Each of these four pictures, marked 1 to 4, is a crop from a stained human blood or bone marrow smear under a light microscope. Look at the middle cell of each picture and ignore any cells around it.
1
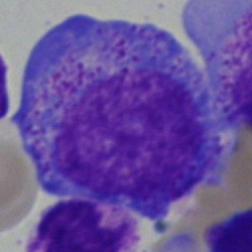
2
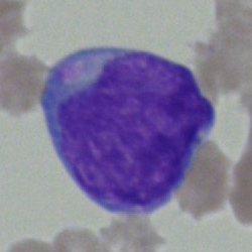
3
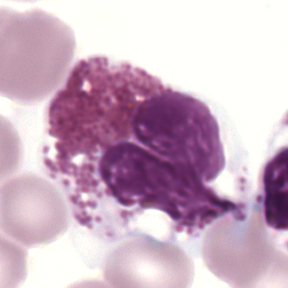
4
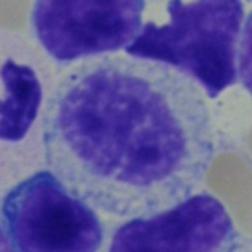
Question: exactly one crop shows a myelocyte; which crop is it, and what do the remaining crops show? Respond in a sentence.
In the case of crop 4, the cell is a myelocyte, while crop 1 is a promyelocyte, crop 2 is a blast and crop 3 is an eosinophil.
